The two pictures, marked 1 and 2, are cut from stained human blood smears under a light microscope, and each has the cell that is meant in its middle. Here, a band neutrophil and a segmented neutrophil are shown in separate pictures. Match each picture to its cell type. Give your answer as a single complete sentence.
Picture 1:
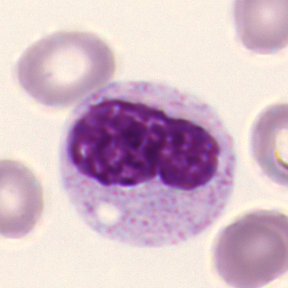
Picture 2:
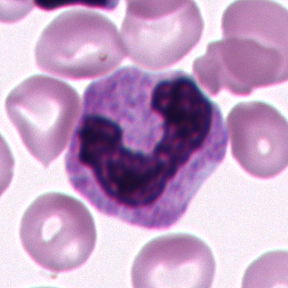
Picture 1 is of a band neutrophil, and picture 2 is of a segmented neutrophil.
